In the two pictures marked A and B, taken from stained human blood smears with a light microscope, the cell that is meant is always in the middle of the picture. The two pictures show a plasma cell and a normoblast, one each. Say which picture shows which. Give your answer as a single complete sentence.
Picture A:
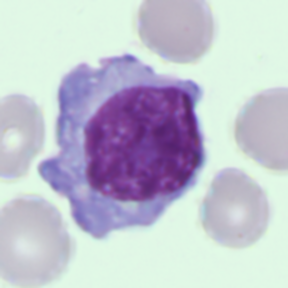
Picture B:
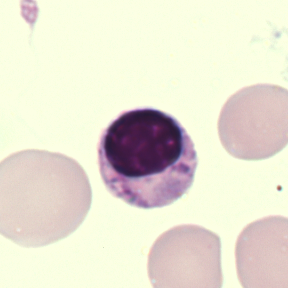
It is picture A that shows a plasma cell, and picture B that shows a normoblast.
